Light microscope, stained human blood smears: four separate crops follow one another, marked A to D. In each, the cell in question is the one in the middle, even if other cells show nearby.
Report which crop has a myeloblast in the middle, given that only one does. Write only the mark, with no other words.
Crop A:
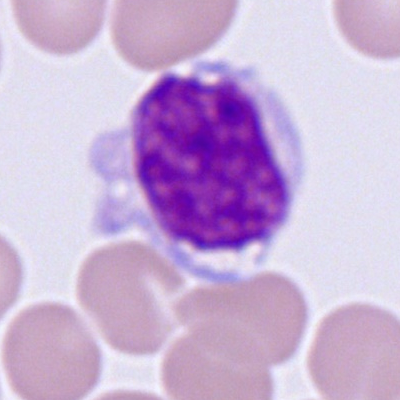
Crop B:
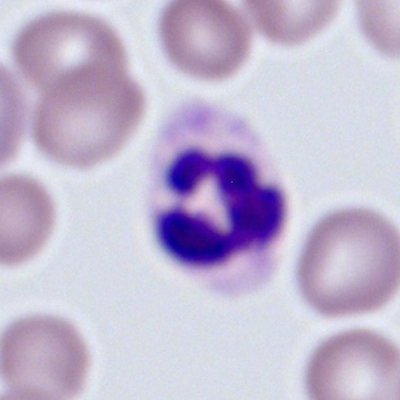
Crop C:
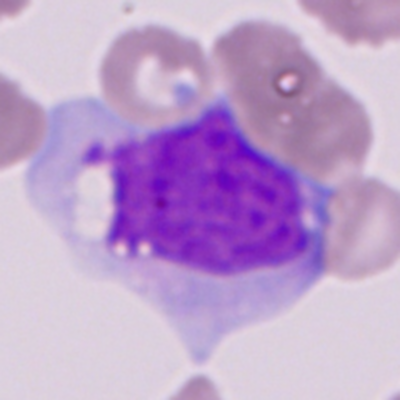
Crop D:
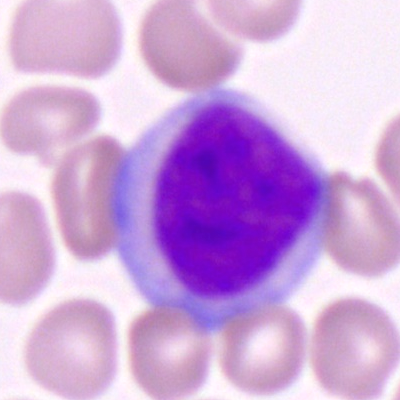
D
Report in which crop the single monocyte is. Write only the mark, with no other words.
C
